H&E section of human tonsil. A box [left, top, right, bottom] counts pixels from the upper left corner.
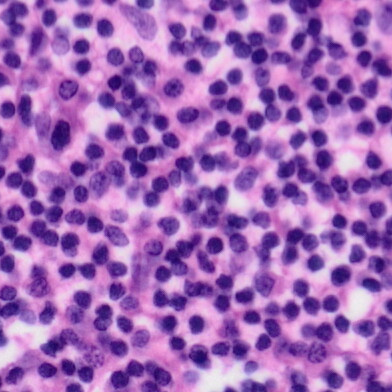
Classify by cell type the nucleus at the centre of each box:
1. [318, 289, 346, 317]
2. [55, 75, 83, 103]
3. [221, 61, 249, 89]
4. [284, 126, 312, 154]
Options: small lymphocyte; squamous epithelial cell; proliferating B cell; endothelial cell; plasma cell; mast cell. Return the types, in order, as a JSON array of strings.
["small lymphocyte", "plasma cell", "small lymphocyte", "small lymphocyte"]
